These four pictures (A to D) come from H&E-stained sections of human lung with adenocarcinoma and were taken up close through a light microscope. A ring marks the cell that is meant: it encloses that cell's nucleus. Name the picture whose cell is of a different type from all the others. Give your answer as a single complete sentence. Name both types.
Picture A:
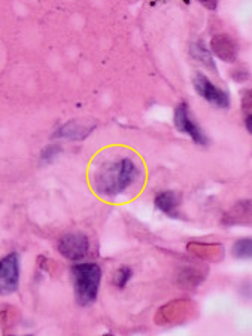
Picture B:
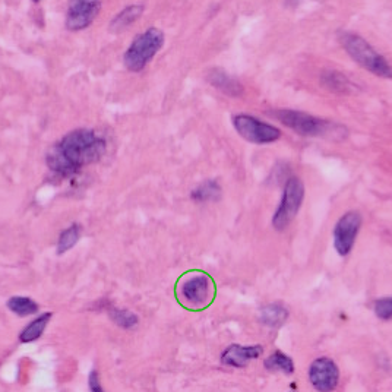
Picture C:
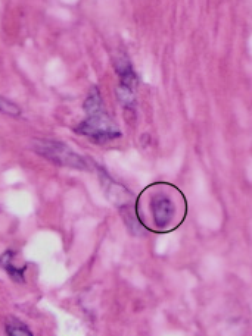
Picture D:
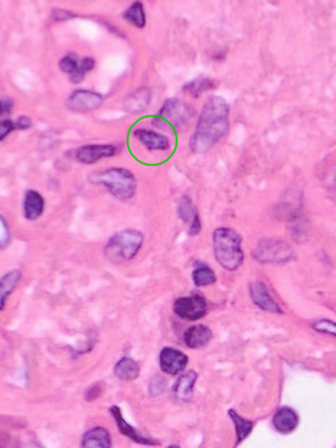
Unlike the rest, which show mast cells, picture A shows a fibroblast.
